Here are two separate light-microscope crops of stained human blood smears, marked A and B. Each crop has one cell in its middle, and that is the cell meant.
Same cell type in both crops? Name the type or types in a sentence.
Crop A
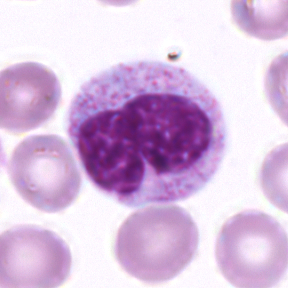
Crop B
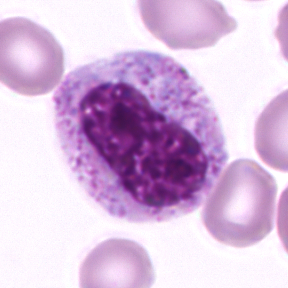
No, crop A and crop B contain, respectively, a band neutrophil and a metamyelocyte.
